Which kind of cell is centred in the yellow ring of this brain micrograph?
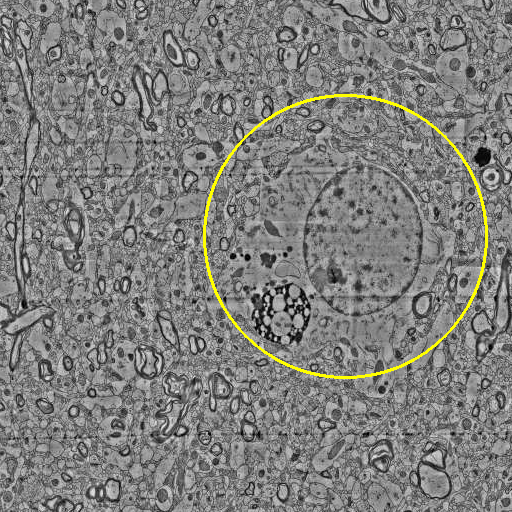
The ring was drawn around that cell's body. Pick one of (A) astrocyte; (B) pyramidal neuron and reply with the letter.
A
